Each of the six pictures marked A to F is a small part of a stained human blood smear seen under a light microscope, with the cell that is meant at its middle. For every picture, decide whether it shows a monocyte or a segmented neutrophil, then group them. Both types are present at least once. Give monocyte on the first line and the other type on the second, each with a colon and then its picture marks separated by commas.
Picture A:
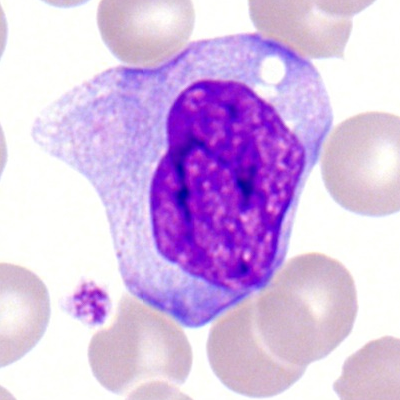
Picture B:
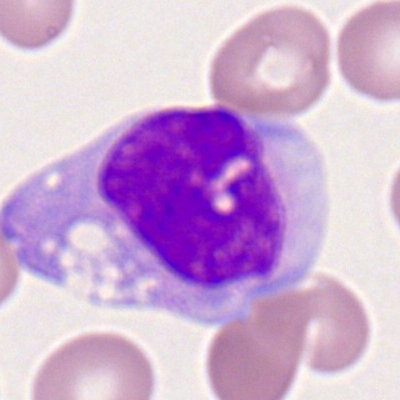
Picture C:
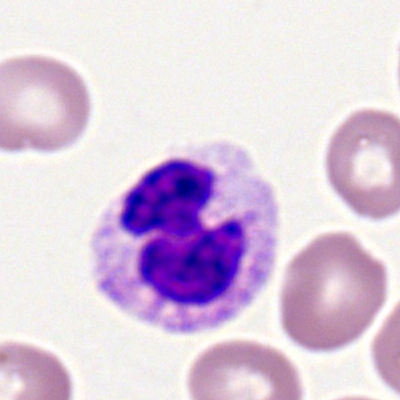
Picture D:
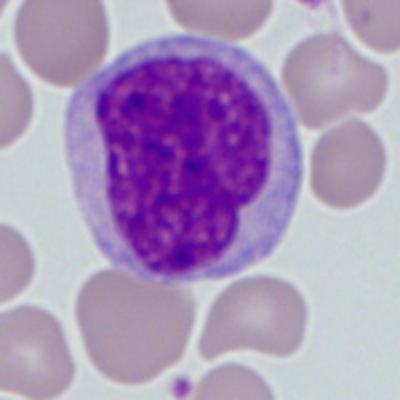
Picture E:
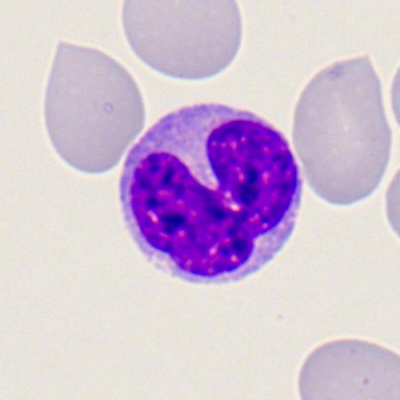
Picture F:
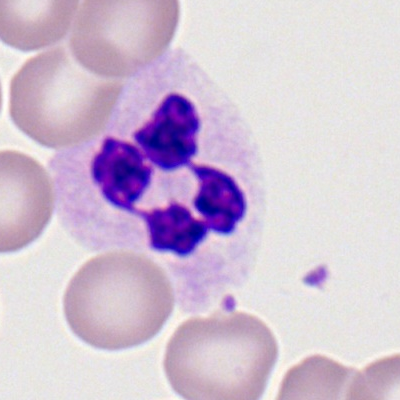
monocyte: A, B, D, E
segmented neutrophil: C, F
